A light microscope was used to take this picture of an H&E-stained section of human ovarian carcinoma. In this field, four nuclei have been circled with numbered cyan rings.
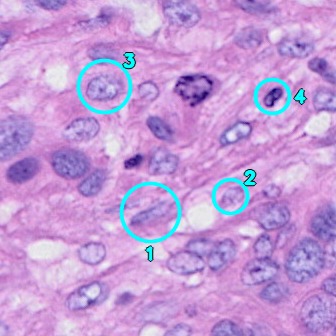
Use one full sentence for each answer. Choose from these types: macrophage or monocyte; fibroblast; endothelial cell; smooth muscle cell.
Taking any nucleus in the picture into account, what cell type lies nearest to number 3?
The cell nearest to number 3 is a fibroblast.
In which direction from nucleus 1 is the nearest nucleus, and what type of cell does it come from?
Lying to the left of nucleus 1, the nearest nucleus is that of a fibroblast.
